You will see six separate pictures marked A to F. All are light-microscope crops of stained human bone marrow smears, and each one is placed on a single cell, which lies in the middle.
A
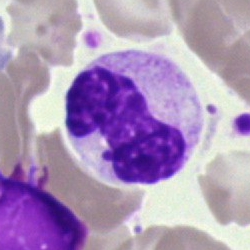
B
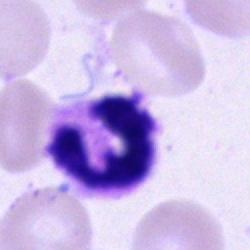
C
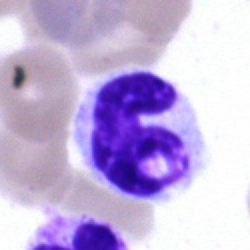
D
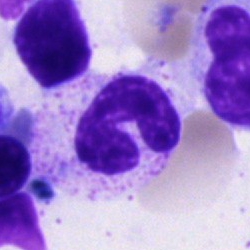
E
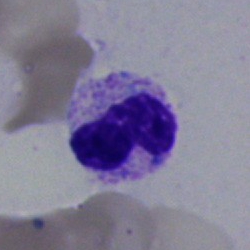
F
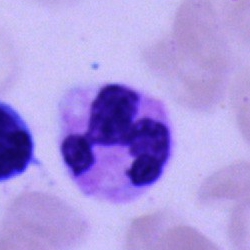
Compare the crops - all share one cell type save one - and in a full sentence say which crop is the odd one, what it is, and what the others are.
Unlike the other crops, which all show segmented neutrophils, crop D is a band neutrophil.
